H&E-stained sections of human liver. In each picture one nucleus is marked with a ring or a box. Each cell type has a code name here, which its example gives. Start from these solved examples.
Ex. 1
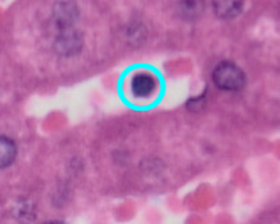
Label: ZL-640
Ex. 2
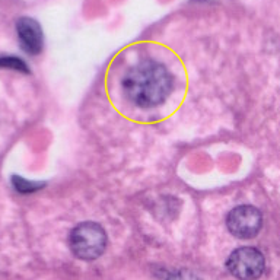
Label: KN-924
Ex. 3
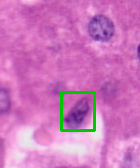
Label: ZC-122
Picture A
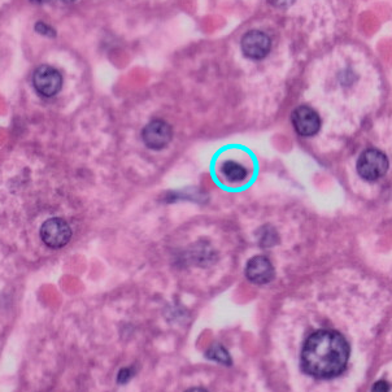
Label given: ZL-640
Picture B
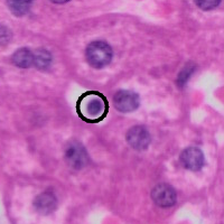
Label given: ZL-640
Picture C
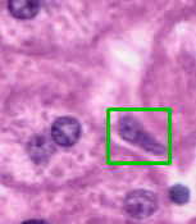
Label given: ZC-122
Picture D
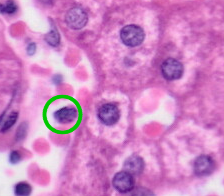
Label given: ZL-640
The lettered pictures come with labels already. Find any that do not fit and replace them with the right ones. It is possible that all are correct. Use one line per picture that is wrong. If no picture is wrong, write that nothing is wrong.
No label is wrong.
